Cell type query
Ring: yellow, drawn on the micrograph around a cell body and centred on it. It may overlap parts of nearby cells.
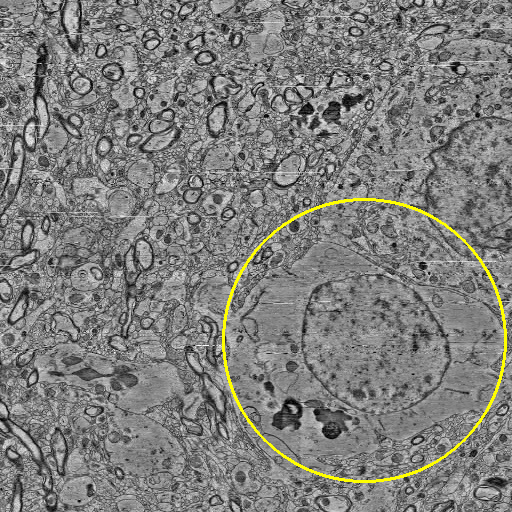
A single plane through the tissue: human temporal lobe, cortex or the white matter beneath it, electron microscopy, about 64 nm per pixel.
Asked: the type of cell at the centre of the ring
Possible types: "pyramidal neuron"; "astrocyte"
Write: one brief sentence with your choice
The ring marks an astrocyte.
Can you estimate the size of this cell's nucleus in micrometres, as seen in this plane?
In this plane, roughly 11 by 9 micrometres.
